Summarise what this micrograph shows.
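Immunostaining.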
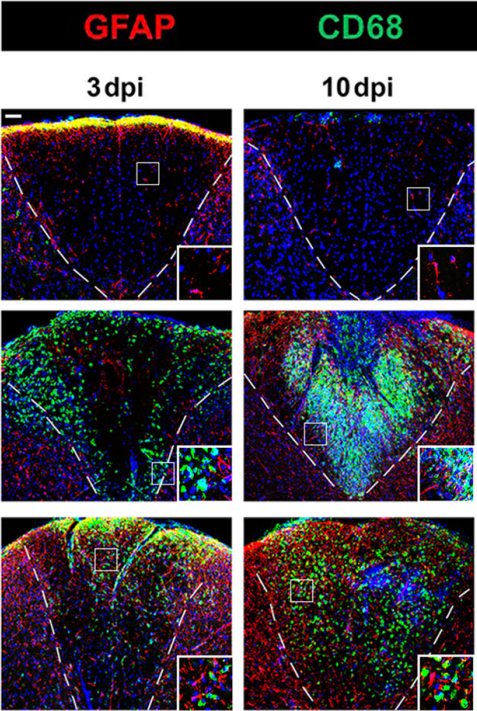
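These are cross-sections of the dorsal spinal cord, each with a wedge-shaped midline region of the dorsal columns outlined by white dashed lines. Blue nuclei are scattered throughout, and fine red branching processes run through the tissue; in some sections many rounded green cells crowd the wedge.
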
